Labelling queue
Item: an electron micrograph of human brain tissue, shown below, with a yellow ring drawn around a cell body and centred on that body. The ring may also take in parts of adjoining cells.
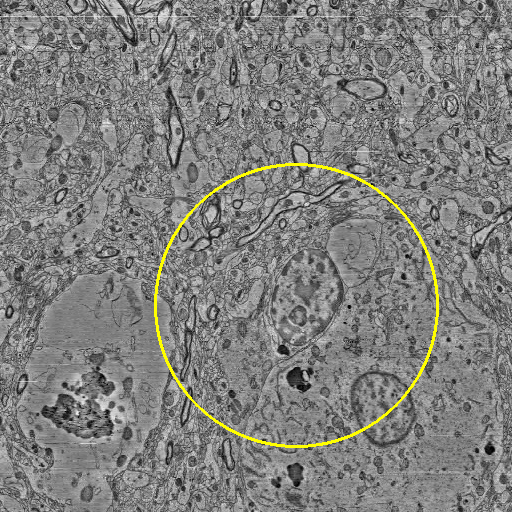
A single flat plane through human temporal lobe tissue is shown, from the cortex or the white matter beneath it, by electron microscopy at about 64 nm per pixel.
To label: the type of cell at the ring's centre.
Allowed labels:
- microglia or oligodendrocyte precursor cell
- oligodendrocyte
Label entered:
microglia or oligodendrocyte precursor cell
